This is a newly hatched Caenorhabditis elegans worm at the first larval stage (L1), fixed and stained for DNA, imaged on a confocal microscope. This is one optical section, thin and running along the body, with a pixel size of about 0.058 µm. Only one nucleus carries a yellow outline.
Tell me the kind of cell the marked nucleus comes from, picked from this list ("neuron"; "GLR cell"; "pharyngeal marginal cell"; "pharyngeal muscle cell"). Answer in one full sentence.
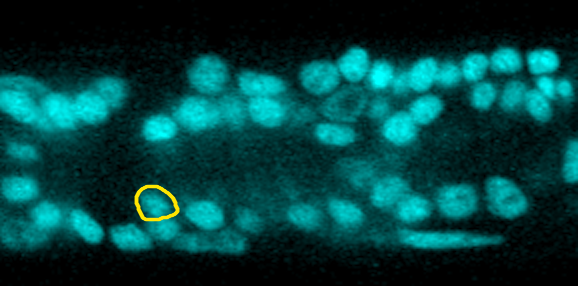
The marked cell is a GLR cell.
